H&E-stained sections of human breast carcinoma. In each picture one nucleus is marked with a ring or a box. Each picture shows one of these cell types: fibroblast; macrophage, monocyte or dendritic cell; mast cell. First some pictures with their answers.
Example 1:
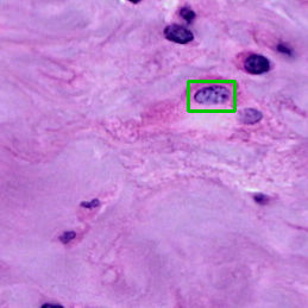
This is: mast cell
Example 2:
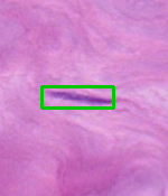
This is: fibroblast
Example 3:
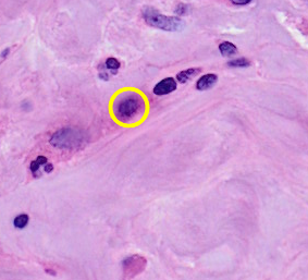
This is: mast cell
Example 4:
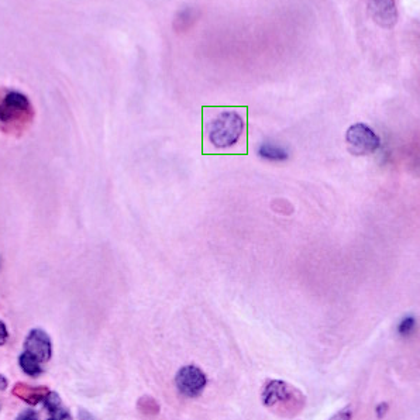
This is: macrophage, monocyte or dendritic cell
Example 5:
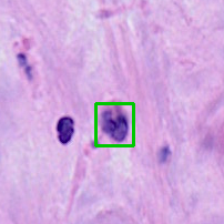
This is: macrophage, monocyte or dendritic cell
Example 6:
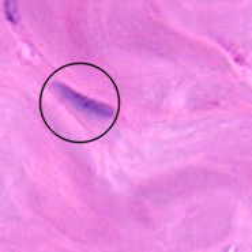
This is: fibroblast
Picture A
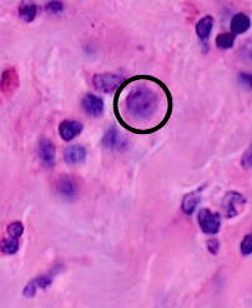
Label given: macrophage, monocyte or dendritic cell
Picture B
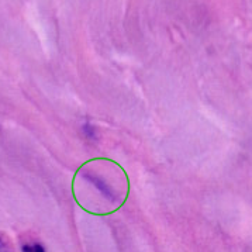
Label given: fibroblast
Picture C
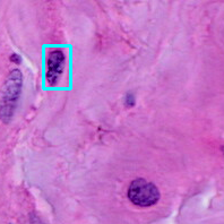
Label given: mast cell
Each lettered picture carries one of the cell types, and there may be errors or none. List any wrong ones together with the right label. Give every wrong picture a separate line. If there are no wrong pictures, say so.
All correct.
